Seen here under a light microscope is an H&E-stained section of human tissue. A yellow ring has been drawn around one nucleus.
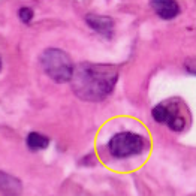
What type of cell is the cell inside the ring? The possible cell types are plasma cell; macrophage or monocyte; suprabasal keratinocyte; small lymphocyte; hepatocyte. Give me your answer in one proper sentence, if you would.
Typologically, the cell inside the ring is a plasma cell in this section.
